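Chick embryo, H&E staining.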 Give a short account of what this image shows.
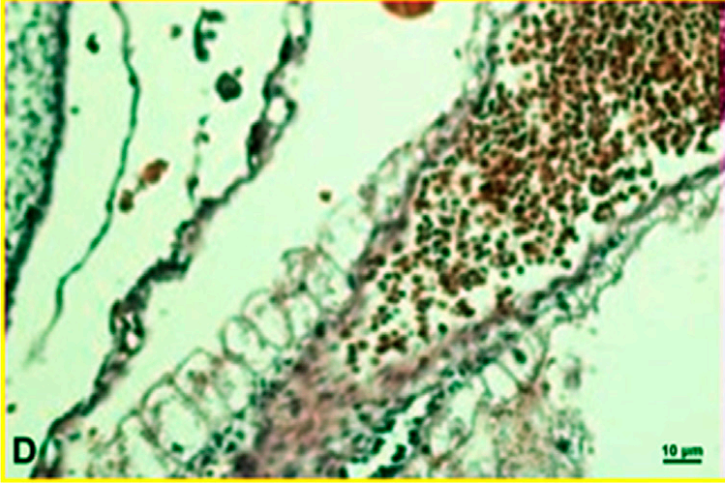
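Embryonic tissue at higher magnification showing a broad band packed with small round red-brown blood cells, bordered by thin walls of flattened cells. Beside it lies a row of rounded, pale, empty-looking cells with thin outlines, and a wide clear space is crossed by thin strands of tissue.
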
